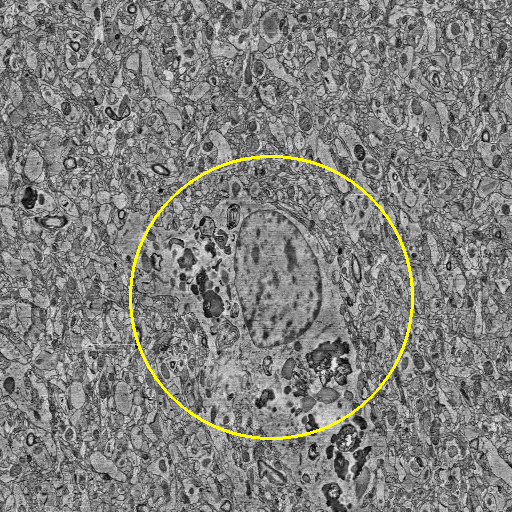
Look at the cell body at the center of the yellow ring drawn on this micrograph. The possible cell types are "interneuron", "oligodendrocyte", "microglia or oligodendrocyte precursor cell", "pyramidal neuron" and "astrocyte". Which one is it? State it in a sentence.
The cell in the middle of the ring is an astrocyte.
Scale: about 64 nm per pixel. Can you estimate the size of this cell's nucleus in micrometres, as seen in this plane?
The nucleus comes to approximately 9 by 5 micrometres and is clearly longer than it is wide in this plane.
